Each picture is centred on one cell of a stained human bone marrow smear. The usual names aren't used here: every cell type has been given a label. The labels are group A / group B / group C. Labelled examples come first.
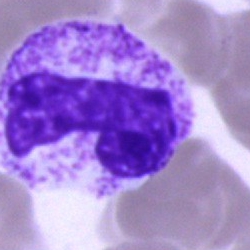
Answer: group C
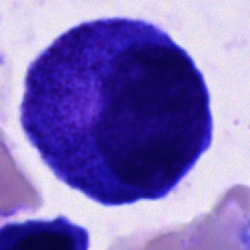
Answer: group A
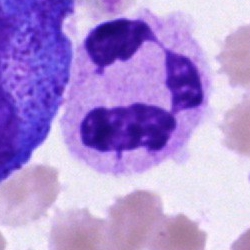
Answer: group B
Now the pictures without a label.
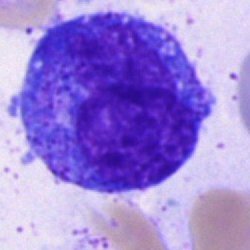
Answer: group A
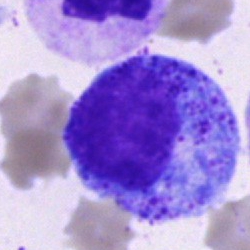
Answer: group A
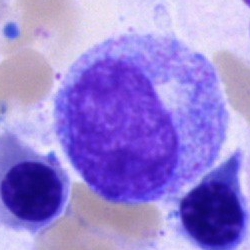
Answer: group A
